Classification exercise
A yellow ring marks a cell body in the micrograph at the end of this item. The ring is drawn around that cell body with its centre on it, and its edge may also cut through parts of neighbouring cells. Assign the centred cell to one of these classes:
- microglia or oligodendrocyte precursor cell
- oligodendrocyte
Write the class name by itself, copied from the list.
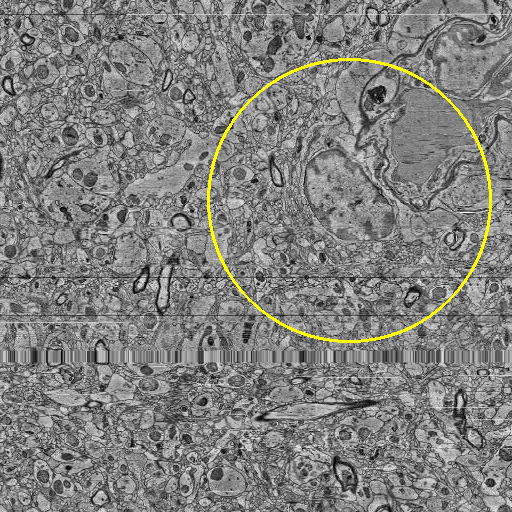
microglia or oligodendrocyte precursor cell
